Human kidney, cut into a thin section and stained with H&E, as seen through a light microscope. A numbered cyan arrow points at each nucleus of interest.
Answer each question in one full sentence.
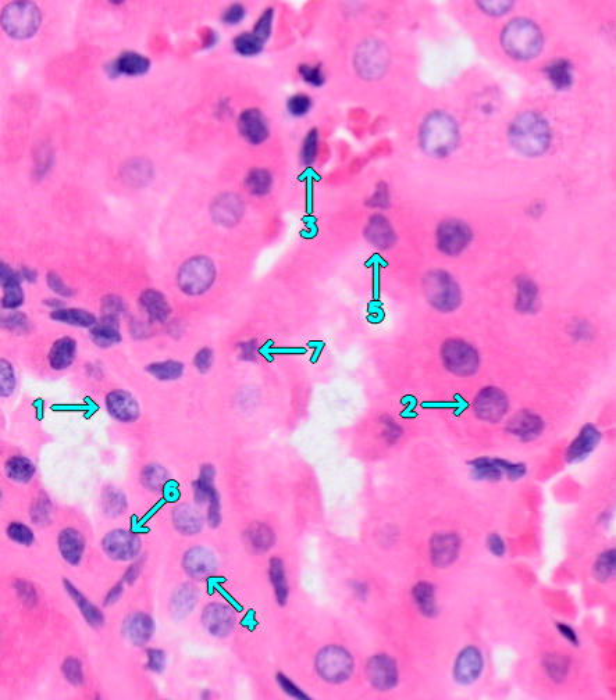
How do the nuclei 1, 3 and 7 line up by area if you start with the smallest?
By area, going up from the smallest, they rank 7, 3, 1.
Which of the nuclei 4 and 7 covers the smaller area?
Nucleus 7 covers less area, with nucleus 4 about 2 times as large.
